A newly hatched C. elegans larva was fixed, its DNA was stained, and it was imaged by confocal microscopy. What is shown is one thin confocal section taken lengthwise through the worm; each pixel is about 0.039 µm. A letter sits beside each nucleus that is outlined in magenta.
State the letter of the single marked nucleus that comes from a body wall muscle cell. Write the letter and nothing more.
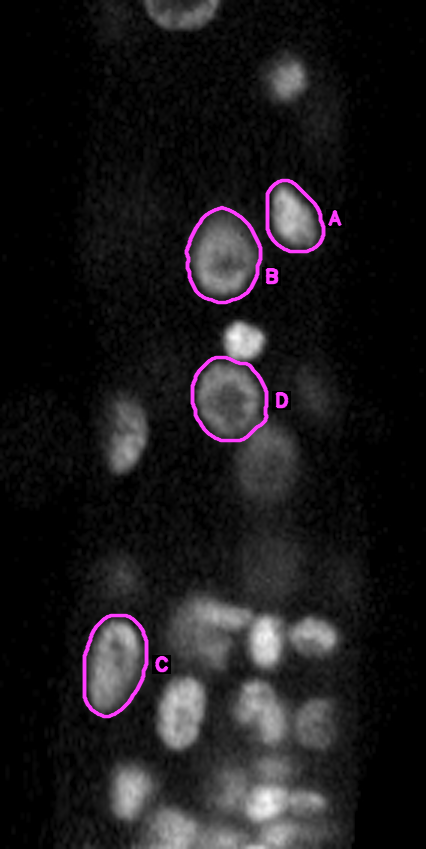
C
